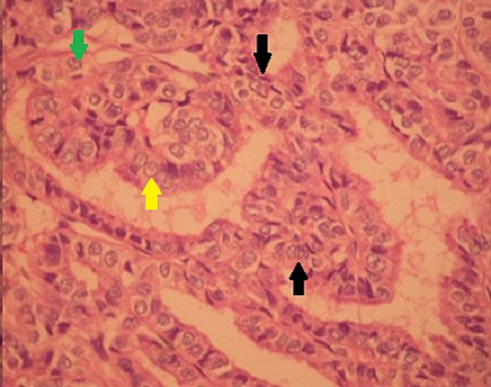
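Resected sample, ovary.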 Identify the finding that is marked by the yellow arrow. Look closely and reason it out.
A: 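Nuclei at the arrow are enlarged and pale. The answer: enlarged and irregular nuclei with pale chromatin.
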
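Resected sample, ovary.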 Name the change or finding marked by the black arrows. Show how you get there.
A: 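Crowding and overlapping nuclei. Nuclei are packed and overlap within the lining cell layers. Nuclei pile on each other rather than forming a single orderly row.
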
